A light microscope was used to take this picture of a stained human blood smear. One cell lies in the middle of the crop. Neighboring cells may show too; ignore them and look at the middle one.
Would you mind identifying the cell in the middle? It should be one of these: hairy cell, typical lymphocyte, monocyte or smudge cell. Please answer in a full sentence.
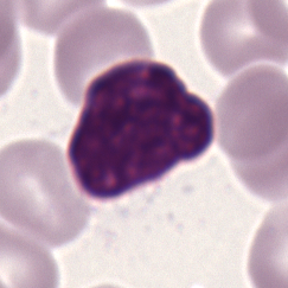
In this smear crop, the middle cell is a smudge cell.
